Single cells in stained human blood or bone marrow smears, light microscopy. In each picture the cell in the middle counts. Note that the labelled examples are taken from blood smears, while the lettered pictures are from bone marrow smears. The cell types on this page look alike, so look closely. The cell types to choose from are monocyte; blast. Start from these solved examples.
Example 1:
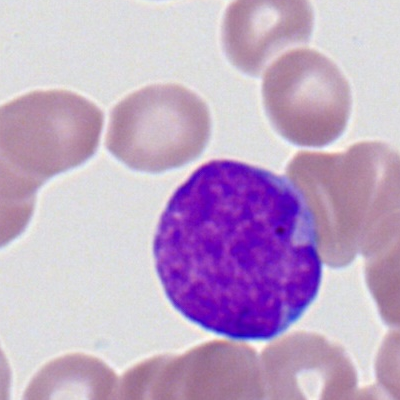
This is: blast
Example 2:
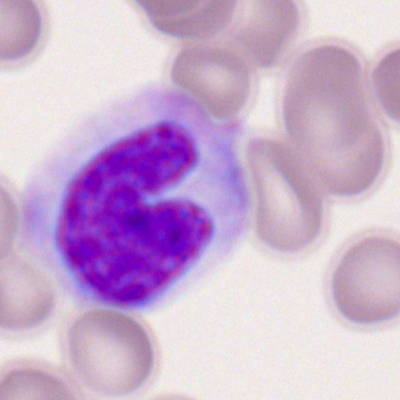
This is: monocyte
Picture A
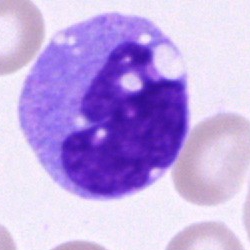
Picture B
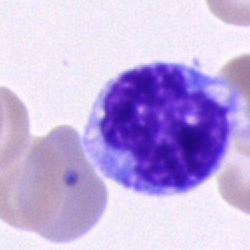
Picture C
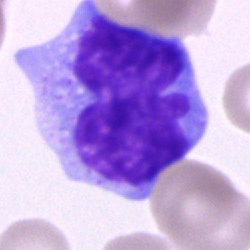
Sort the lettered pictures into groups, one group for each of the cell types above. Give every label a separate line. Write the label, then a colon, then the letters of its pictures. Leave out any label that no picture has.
monocyte: A, B, C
